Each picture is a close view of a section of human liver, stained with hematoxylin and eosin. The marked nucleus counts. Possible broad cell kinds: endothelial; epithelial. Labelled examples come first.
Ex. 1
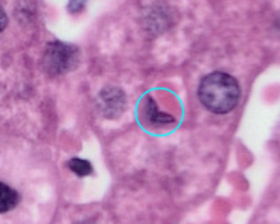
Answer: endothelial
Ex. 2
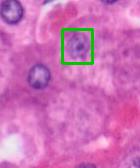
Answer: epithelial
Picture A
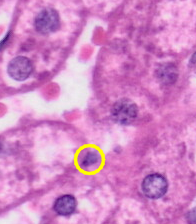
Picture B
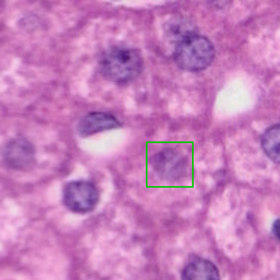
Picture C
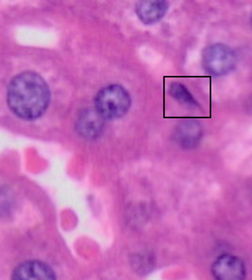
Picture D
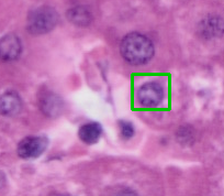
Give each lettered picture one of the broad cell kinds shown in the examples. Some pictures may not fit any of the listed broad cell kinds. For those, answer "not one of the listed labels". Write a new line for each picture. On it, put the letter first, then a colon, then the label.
A: not one of the listed labels
B: epithelial
C: not one of the listed labels
D: epithelial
